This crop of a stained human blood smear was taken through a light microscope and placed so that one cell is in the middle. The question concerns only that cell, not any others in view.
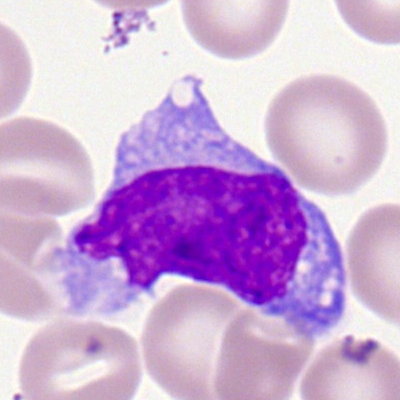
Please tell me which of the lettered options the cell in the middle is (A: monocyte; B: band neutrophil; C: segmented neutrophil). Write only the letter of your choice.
A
